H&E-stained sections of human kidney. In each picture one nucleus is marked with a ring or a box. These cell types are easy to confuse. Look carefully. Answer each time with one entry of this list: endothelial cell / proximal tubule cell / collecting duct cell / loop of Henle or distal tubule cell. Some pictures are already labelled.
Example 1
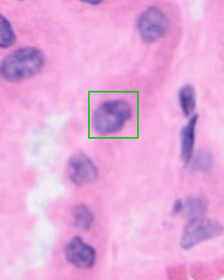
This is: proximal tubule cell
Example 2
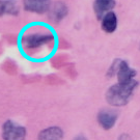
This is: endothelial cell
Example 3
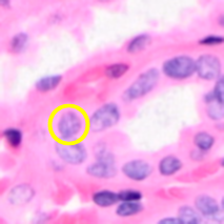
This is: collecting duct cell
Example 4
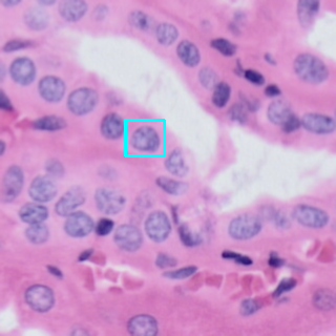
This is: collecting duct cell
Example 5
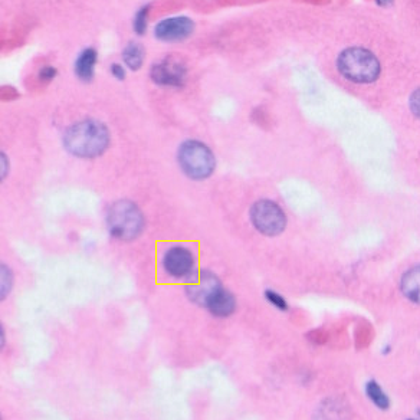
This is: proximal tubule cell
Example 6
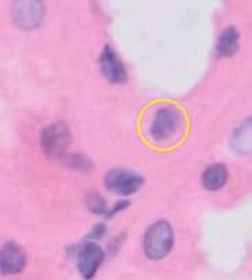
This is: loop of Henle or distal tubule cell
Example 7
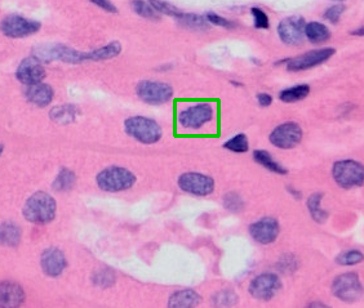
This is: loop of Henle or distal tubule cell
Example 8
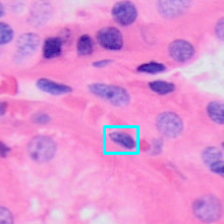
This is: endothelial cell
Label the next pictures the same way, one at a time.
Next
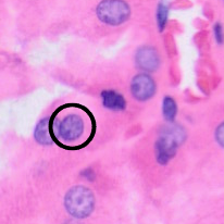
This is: proximal tubule cell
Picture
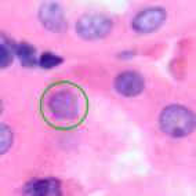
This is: proximal tubule cell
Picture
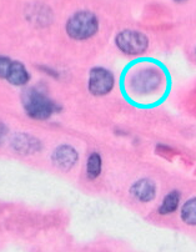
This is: loop of Henle or distal tubule cell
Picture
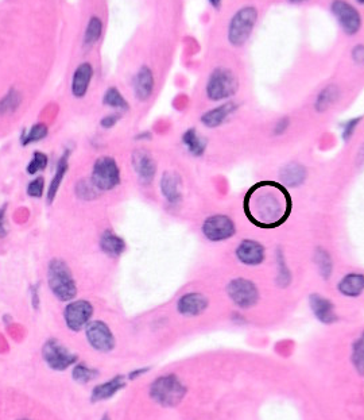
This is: collecting duct cell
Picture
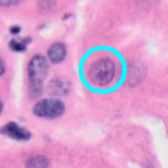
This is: proximal tubule cell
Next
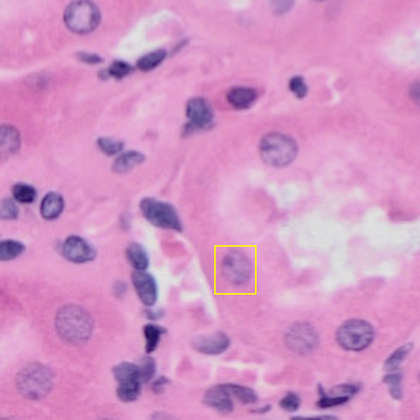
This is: proximal tubule cell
